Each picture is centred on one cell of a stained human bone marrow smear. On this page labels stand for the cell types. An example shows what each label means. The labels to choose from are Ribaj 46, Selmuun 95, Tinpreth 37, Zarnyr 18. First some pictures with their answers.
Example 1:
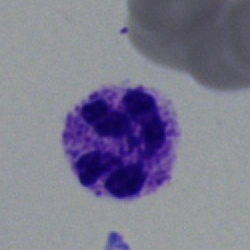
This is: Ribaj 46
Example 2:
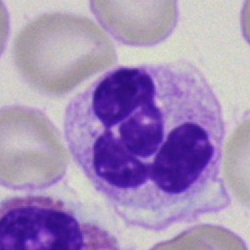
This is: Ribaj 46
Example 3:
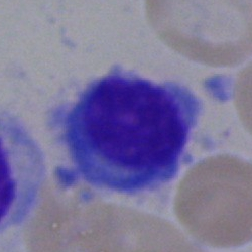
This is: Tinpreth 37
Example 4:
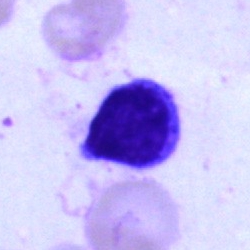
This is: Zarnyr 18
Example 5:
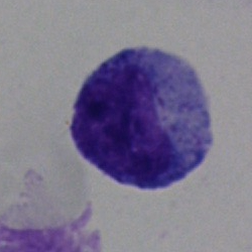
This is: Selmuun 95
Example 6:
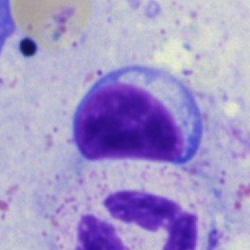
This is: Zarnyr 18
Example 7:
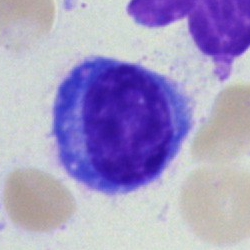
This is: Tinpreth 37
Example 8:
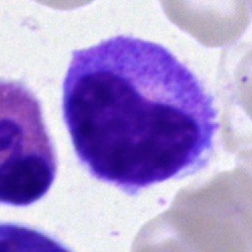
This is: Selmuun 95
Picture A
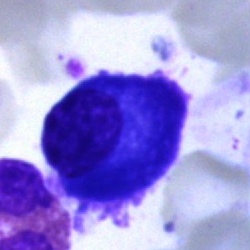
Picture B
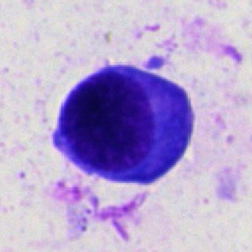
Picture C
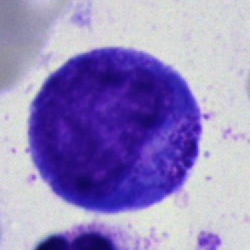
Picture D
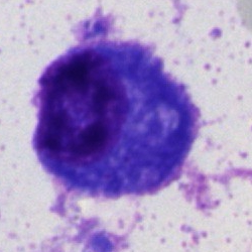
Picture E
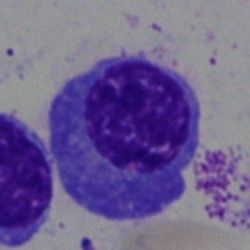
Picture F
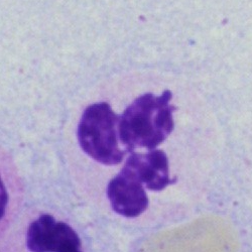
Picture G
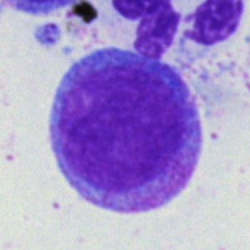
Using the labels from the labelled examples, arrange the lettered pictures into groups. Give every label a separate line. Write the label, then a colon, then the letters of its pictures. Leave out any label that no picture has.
Ribaj 46: F
Selmuun 95: C, G
Tinpreth 37: A, B, D, E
